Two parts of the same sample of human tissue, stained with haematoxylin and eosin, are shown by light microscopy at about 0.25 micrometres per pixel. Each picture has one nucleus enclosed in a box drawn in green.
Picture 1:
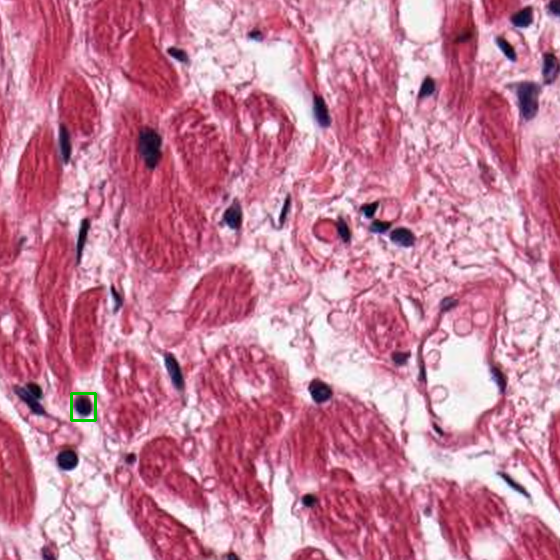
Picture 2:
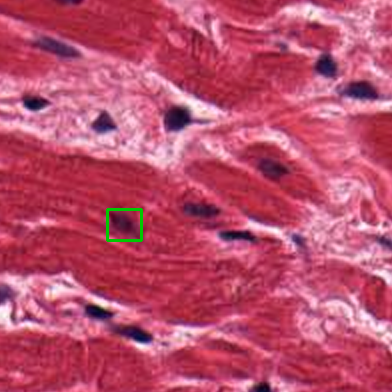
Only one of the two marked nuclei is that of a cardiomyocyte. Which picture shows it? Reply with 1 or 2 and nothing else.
2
